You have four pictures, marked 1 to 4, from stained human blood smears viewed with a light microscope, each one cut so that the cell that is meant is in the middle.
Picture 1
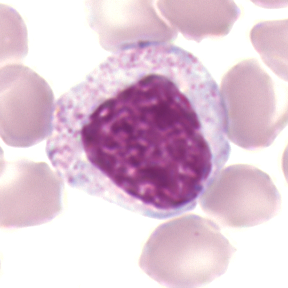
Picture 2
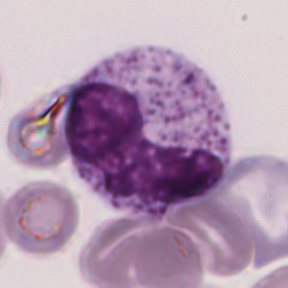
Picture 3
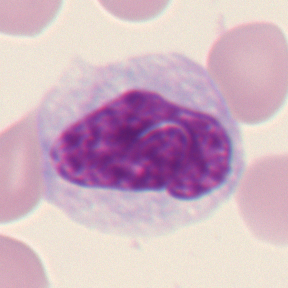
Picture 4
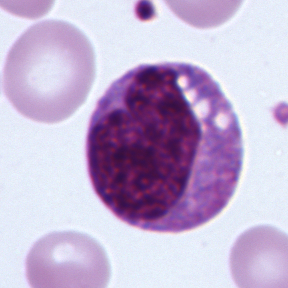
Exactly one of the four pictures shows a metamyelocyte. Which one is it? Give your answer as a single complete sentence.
It is picture 1 that shows the metamyelocyte.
